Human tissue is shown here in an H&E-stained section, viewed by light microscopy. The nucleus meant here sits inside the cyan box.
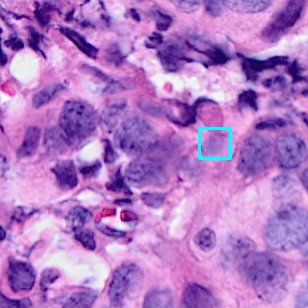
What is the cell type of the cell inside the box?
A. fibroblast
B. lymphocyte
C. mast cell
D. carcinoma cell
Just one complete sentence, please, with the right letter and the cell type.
In this item, the cell inside the box is a carcinoma cell, and option D is right.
